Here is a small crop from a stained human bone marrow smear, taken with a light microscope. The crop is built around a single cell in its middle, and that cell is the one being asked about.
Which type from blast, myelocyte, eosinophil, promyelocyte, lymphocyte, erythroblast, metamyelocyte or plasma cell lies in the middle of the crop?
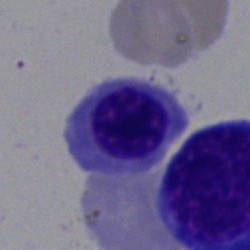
erythroblast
